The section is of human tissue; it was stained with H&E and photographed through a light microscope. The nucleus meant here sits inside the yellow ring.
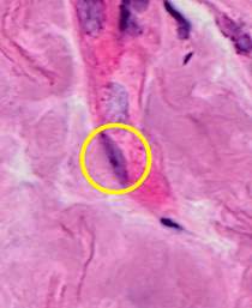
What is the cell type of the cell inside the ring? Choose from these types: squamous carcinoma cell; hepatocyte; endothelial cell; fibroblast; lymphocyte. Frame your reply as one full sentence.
The expected answer is simply that the cell inside the ring is an endothelial cell.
